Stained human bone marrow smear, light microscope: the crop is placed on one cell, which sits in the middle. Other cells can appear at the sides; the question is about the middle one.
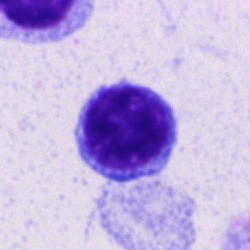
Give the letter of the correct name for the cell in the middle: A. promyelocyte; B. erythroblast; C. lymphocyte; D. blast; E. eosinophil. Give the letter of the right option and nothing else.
C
